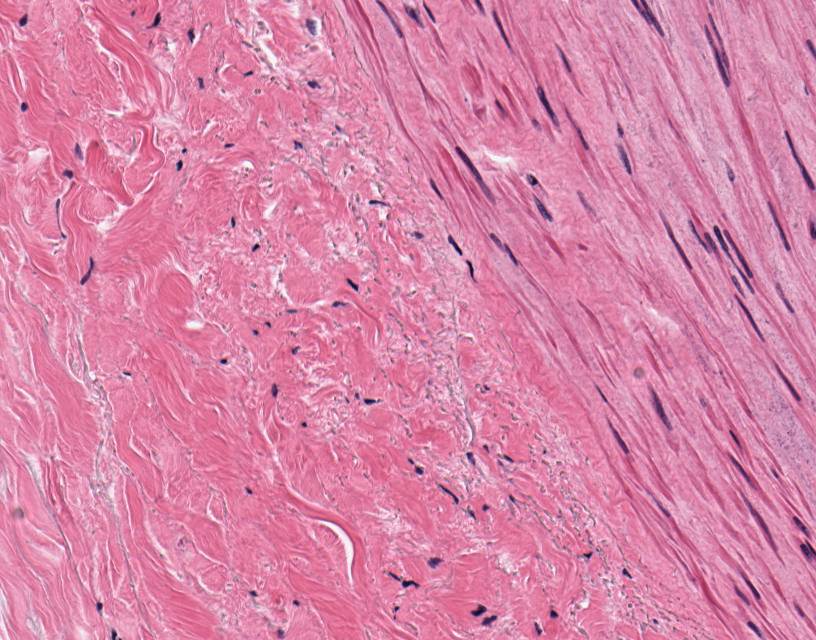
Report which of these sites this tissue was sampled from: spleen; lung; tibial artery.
tibial artery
